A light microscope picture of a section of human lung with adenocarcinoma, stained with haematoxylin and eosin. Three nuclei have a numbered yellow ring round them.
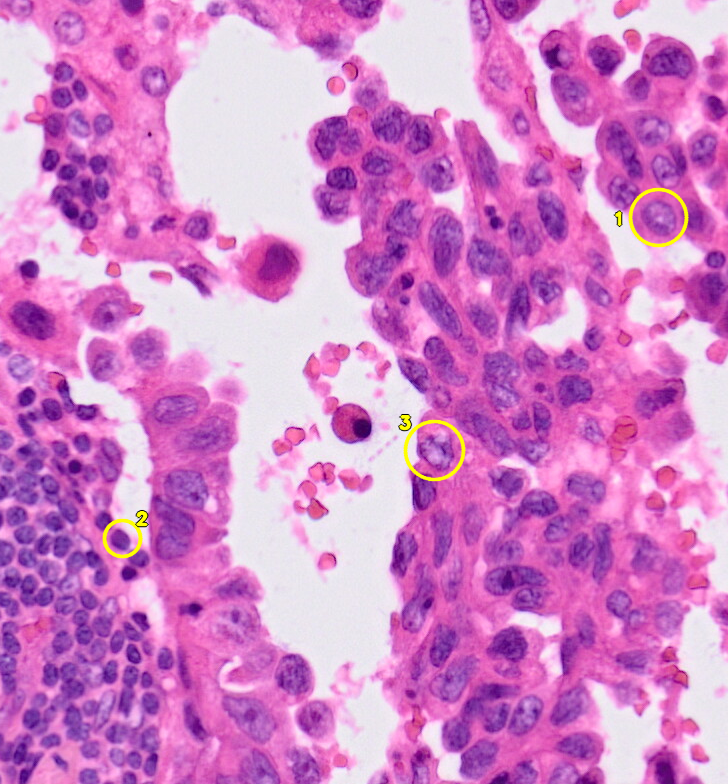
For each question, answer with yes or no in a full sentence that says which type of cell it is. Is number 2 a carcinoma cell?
No, the cell marked 2 is a lymphocyte rather than a carcinoma cell.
